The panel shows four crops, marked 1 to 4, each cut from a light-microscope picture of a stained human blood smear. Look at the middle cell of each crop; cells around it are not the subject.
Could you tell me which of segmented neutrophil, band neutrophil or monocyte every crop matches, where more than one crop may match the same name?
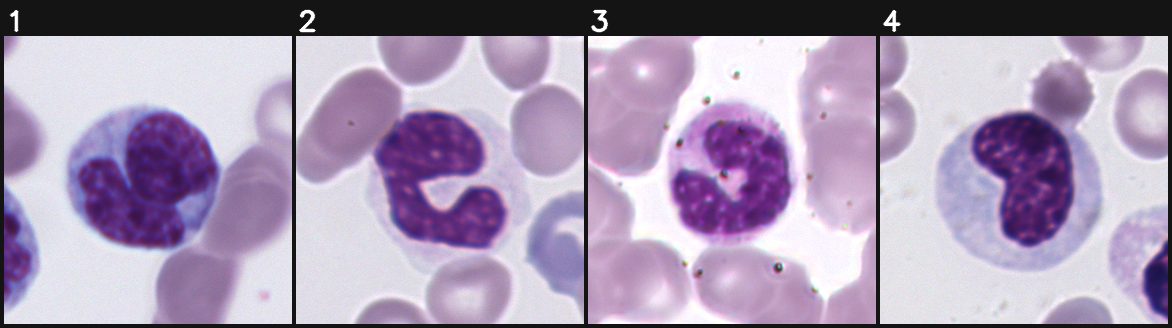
1: monocyte
2: band neutrophil
3: band neutrophil
4: band neutrophil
